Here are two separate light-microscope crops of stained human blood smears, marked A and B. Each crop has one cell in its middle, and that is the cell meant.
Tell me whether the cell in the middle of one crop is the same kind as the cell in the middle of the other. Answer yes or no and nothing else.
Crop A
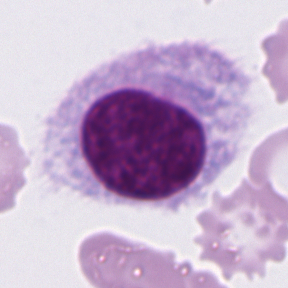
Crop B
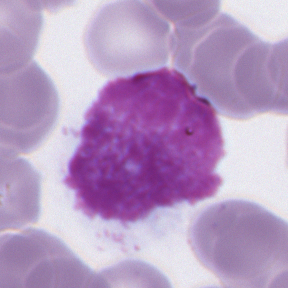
no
